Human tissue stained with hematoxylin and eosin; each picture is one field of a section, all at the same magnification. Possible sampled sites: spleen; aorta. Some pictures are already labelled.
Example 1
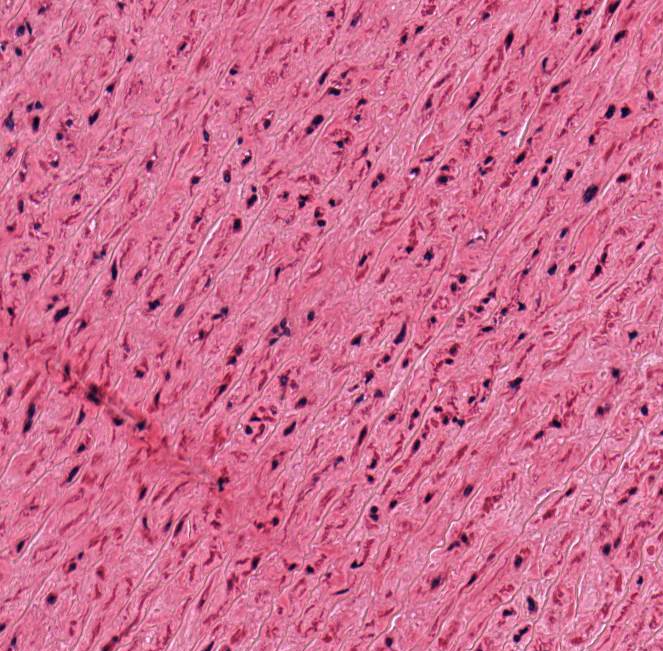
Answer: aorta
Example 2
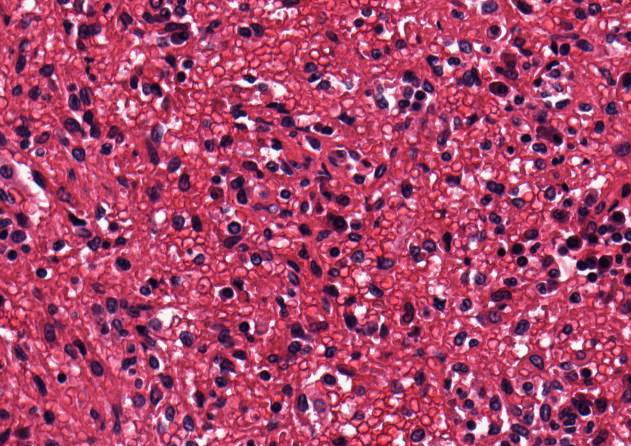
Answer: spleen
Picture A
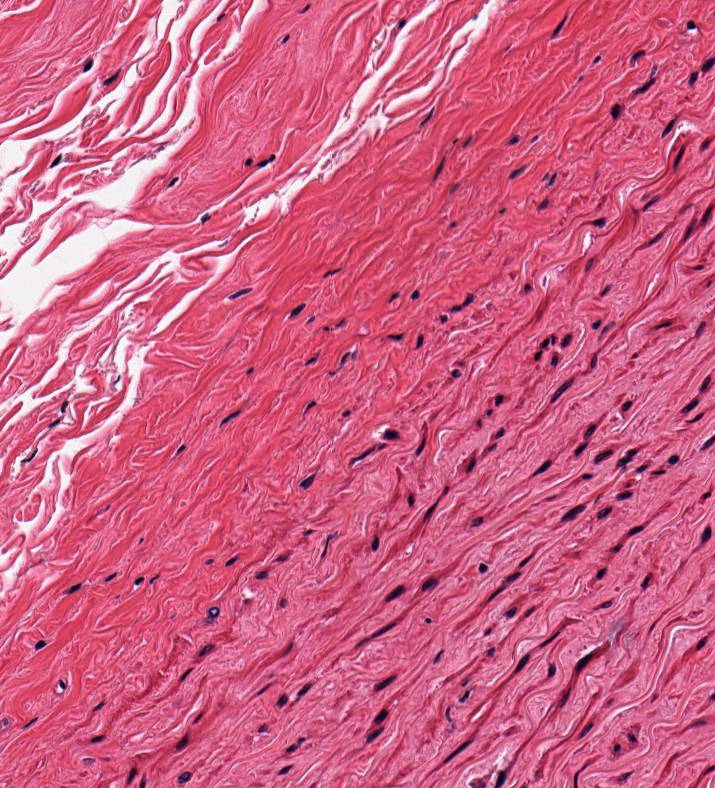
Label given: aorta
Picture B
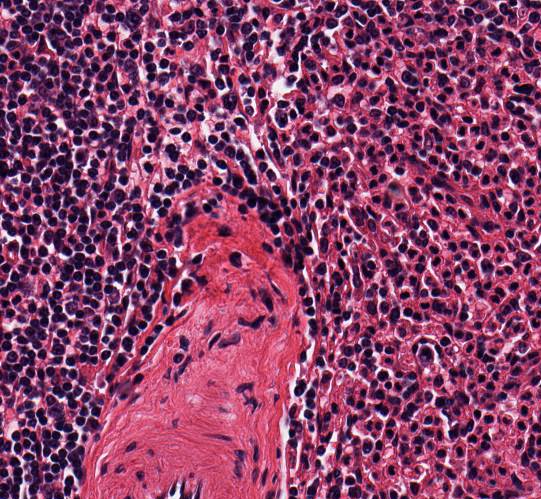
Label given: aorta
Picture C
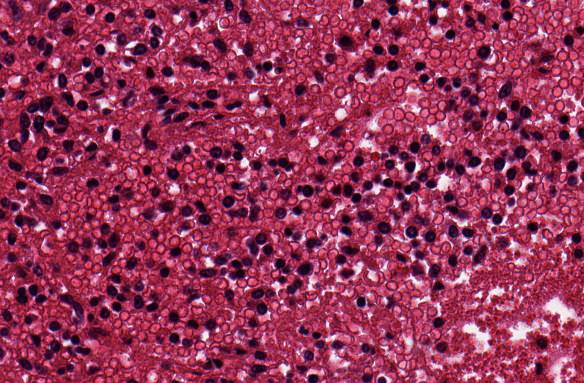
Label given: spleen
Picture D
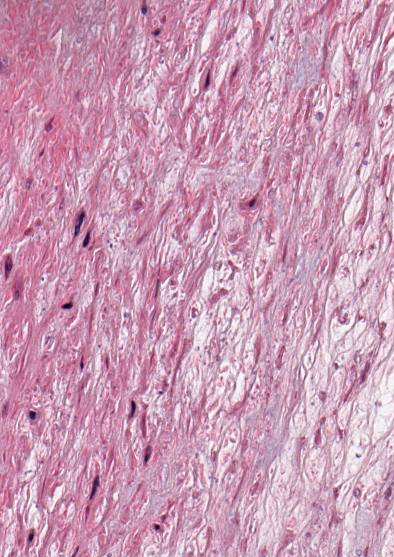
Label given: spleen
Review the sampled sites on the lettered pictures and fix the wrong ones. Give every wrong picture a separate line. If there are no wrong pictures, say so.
B should be spleen, not aorta
D should be aorta, not spleen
